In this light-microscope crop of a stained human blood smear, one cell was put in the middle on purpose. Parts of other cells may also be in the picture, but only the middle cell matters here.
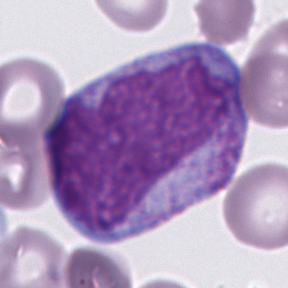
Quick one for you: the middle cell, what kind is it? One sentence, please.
The cell nearest the centre of this crop is a promyelocyte.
